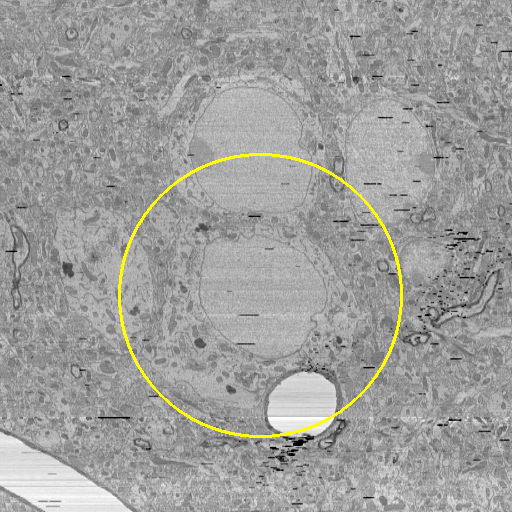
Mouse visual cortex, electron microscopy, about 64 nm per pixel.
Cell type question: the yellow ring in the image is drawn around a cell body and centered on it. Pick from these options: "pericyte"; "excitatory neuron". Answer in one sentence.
The ringed cell at the center is an excitatory neuron.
